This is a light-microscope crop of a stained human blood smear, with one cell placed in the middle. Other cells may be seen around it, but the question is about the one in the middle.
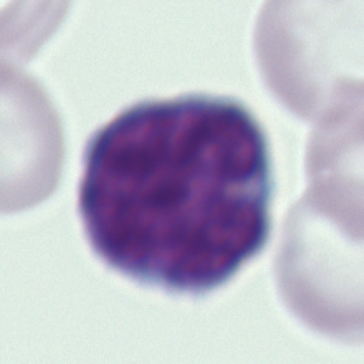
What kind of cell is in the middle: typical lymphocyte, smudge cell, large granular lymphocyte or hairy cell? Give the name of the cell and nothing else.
typical lymphocyte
